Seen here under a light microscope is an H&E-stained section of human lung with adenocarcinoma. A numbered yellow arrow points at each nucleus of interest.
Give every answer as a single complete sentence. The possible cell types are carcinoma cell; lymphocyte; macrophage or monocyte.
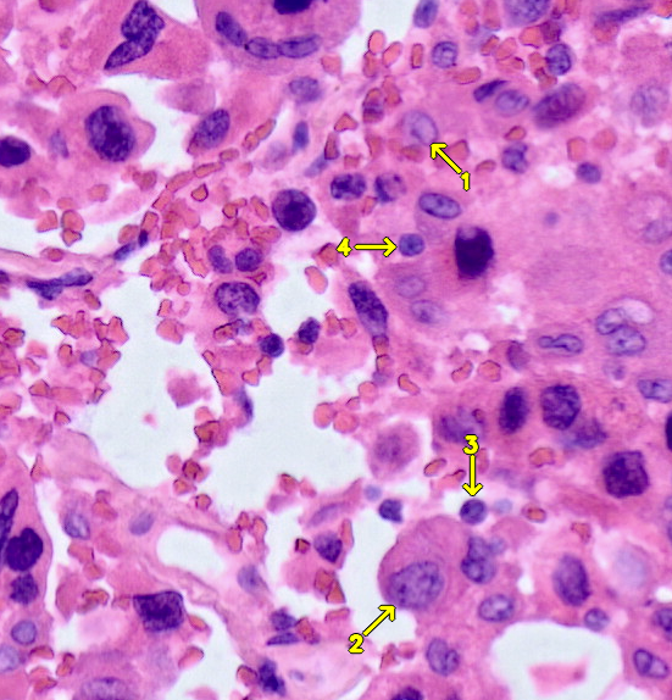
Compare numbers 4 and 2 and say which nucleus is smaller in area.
Nucleus 4 covers less area, with nucleus 2 about 4 times as large.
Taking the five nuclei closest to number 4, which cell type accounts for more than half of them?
Most of the five nuclei nearest to number 4 are those of macrophages or monocytes.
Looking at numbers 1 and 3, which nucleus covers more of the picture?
Of the two, number 1 is bigger and takes up about 1.5 times the area of number 3.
